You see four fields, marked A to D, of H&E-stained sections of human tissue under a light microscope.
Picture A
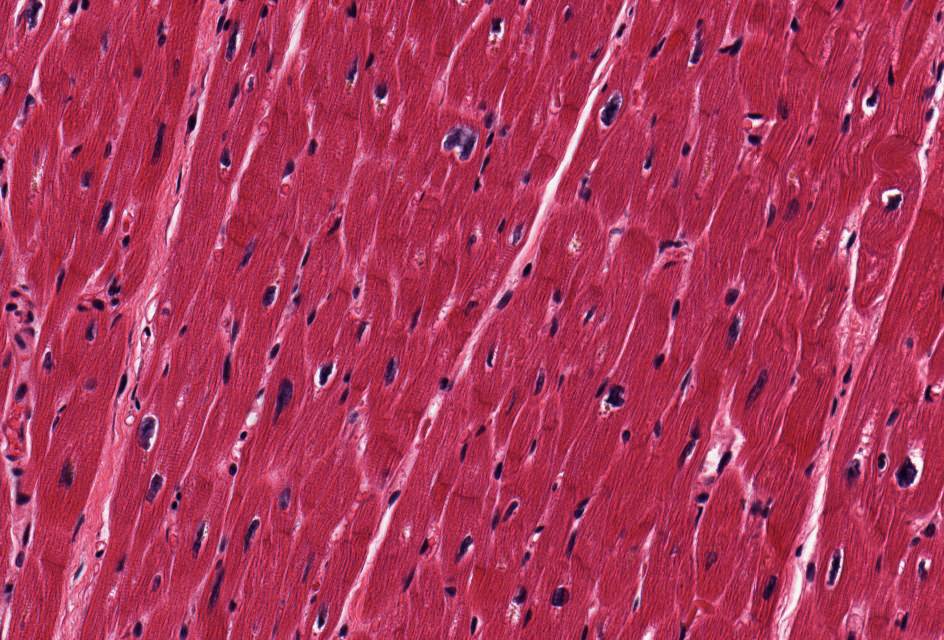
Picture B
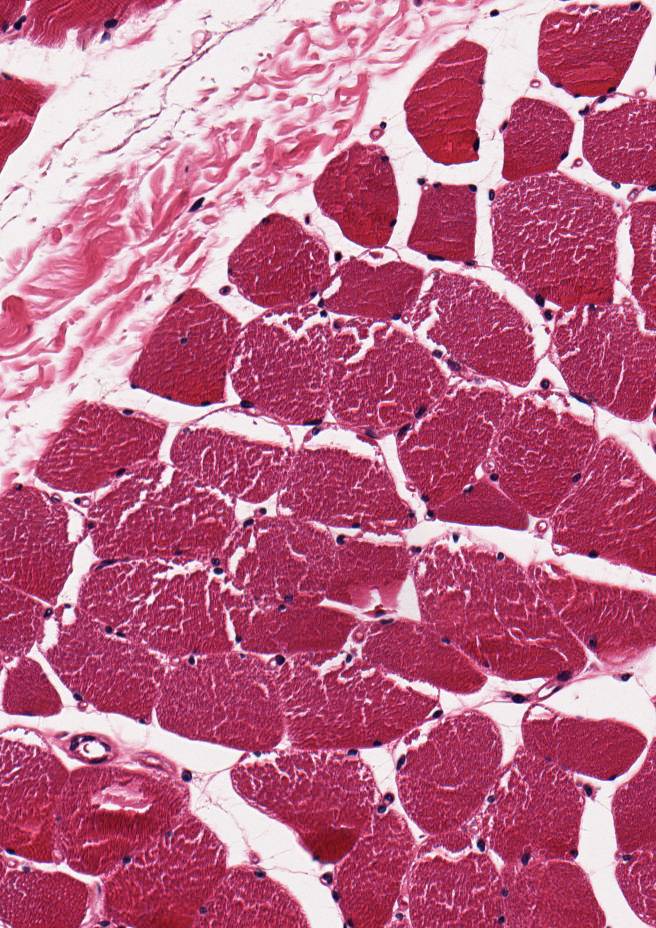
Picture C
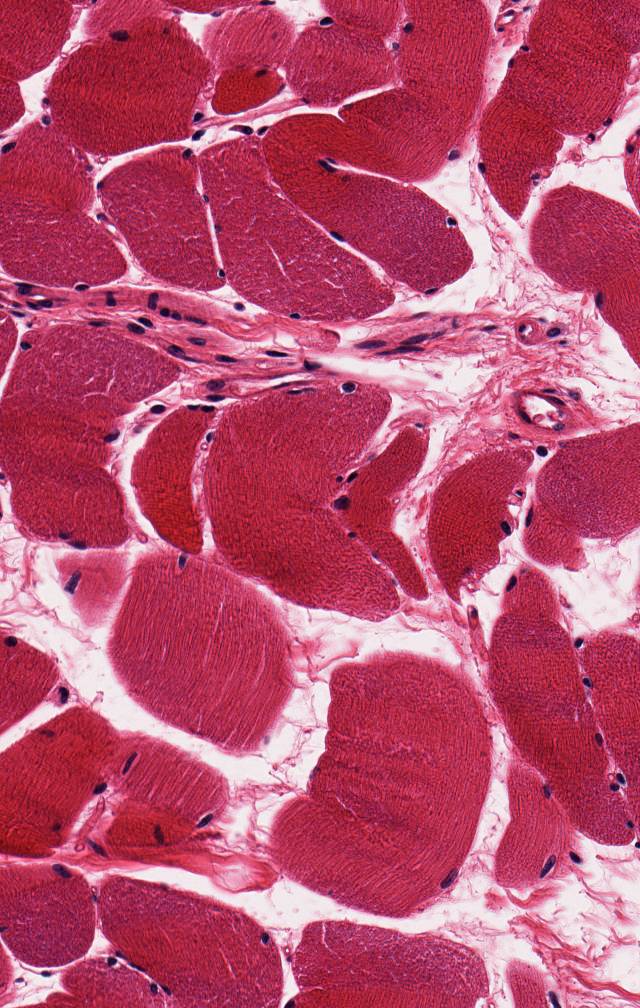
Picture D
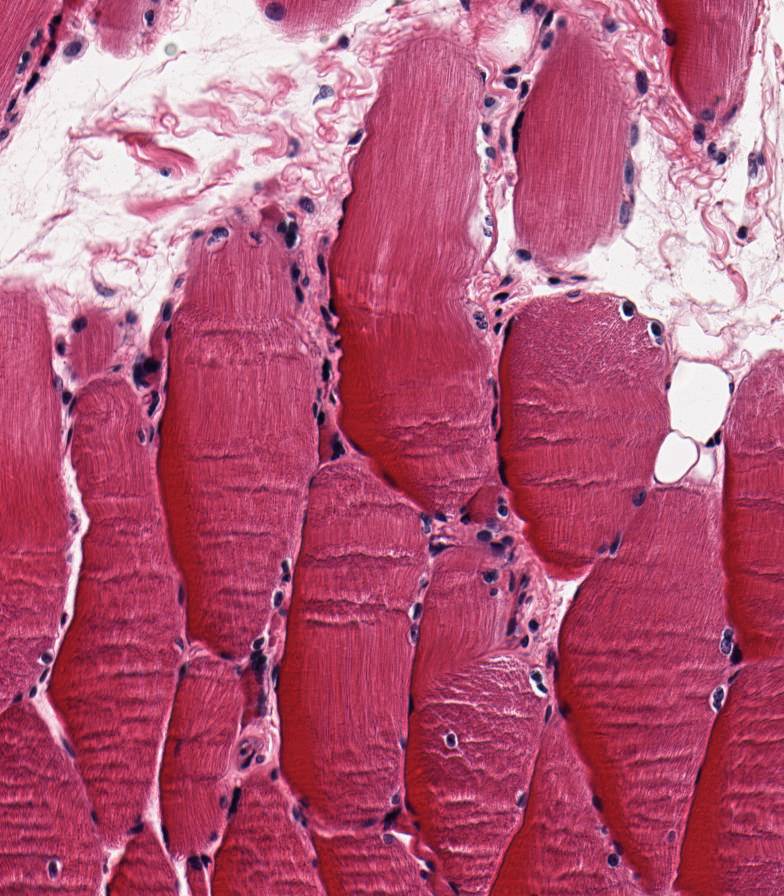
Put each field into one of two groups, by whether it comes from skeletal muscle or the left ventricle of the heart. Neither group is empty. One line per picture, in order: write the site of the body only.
left ventricle of the heart
skeletal muscle
skeletal muscle
skeletal muscle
